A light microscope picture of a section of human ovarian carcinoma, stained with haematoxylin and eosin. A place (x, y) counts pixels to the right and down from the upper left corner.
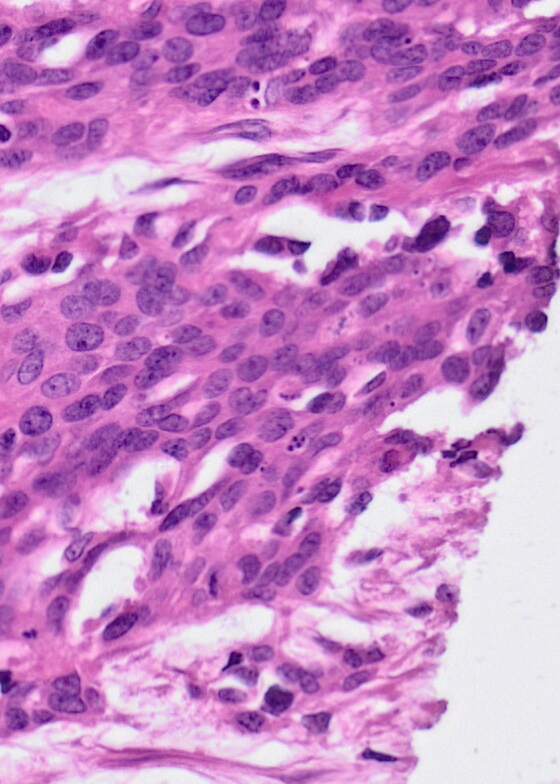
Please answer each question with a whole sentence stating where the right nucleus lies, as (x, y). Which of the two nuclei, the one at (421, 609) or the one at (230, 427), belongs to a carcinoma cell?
The correct choice is the nucleus at (230, 427), which belongs to a carcinoma cell.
